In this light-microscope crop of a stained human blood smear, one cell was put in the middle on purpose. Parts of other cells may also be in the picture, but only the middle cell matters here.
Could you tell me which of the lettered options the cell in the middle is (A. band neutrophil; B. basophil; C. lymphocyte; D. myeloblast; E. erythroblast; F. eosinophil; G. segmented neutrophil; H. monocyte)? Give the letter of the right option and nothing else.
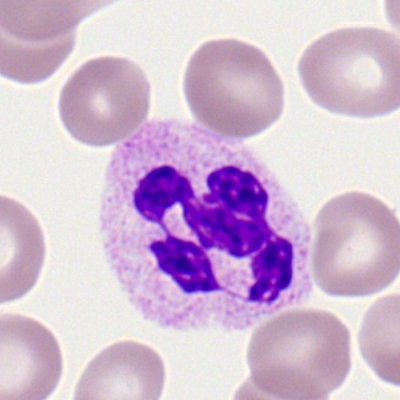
G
